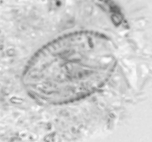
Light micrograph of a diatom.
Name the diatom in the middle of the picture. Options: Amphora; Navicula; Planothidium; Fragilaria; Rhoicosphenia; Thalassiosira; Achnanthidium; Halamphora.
Amphora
